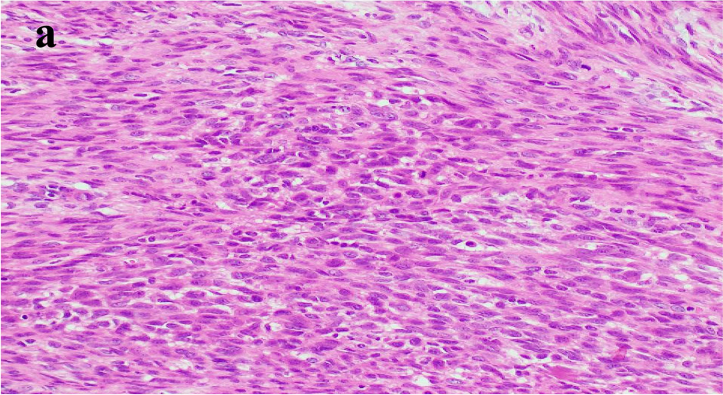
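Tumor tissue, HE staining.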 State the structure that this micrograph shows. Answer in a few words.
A: interlaced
